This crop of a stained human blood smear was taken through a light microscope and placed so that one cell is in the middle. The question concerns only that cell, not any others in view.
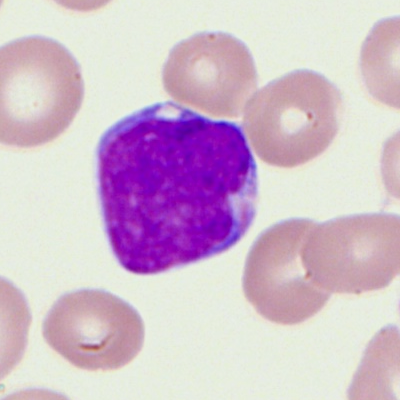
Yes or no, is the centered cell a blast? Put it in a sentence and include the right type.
Yes, the cell in the central position is a blast.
